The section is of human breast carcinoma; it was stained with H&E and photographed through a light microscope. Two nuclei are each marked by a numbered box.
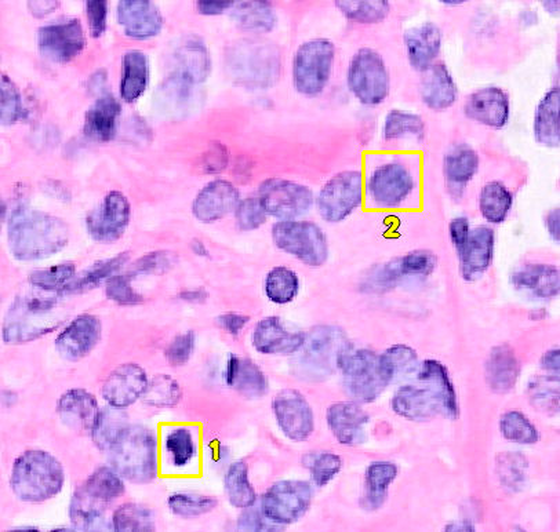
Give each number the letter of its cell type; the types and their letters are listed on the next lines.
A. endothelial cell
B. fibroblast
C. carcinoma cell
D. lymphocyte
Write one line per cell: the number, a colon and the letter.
1: D
2: C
